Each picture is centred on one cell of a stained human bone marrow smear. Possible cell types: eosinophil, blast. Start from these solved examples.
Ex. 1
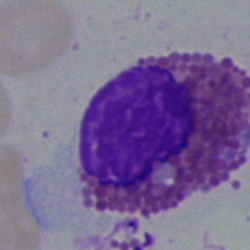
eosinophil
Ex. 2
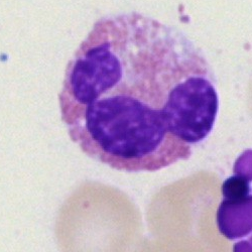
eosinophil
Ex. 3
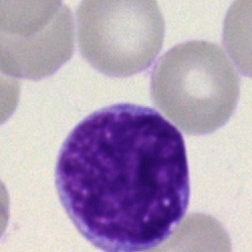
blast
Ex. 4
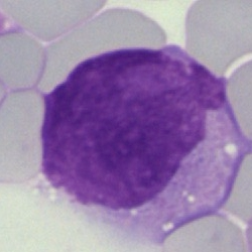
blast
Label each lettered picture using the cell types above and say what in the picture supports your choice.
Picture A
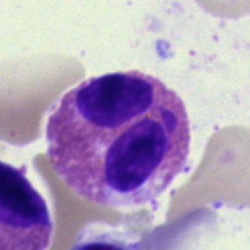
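eosinophil. Reason: The cytoplasm is plentiful and pinkish-lilac.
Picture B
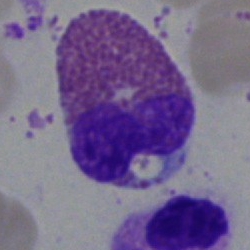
eosinophil. Reason: Coarse purple granules fill the upper half of the cell.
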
